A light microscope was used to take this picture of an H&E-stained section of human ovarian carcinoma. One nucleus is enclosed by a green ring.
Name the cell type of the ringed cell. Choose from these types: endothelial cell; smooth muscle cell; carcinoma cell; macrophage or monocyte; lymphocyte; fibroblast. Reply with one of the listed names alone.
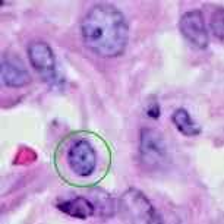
macrophage or monocyte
